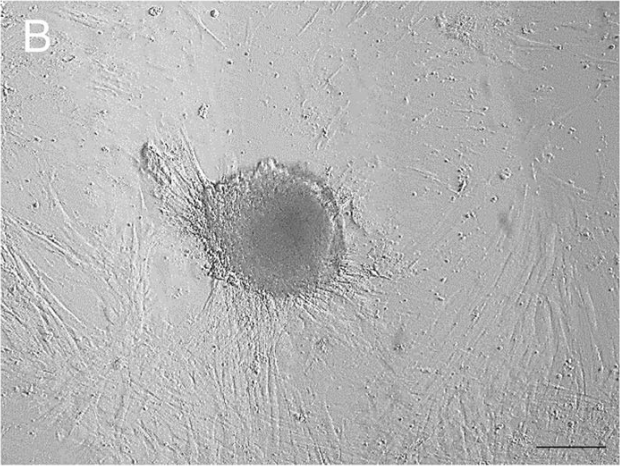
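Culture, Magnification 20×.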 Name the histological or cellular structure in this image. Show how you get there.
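A dense dark round aggregate of cells lies in the centre. Spindle-shaped cells radiate outward from the aggregate. That points to this answer: cluster.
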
